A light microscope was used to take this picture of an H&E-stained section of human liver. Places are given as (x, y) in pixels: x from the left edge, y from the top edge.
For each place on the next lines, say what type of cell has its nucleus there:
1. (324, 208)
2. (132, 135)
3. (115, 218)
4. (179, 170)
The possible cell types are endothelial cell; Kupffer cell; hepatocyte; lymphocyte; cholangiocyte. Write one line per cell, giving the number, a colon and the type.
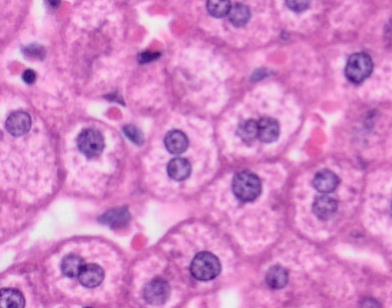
1: hepatocyte
2: endothelial cell
3: Kupffer cell
4: hepatocyte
